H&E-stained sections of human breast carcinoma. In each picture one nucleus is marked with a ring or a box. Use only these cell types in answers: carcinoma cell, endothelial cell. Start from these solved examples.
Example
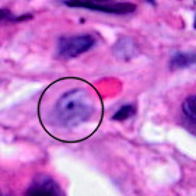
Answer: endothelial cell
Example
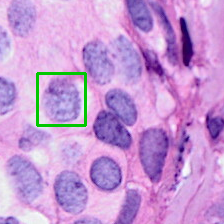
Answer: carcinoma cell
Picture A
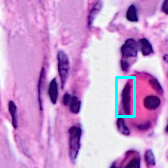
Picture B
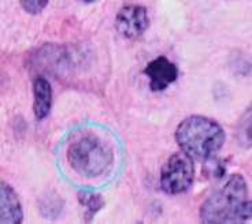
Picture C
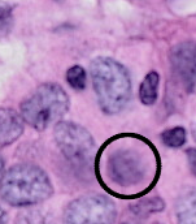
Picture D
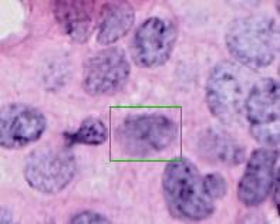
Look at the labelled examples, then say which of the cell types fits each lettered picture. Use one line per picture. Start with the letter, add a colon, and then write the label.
A: endothelial cell
B: carcinoma cell
C: carcinoma cell
D: carcinoma cell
